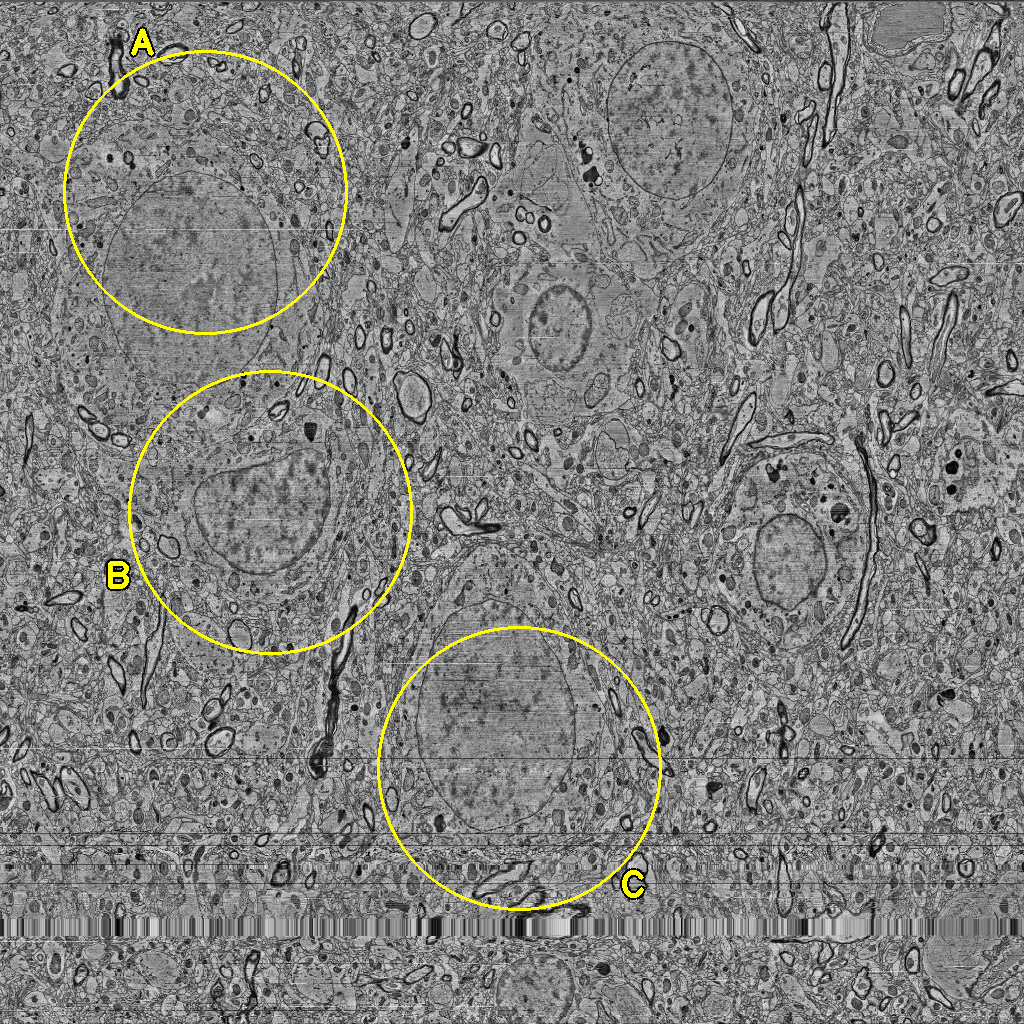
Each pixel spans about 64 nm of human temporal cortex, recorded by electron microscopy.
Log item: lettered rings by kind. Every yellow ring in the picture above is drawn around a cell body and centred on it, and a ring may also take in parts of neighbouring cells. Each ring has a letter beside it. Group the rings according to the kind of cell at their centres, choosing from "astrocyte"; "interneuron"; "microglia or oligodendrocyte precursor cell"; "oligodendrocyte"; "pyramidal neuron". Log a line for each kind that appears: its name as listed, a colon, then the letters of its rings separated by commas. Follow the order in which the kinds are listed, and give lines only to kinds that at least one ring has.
interneuron: B
pyramidal neuron: A, C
